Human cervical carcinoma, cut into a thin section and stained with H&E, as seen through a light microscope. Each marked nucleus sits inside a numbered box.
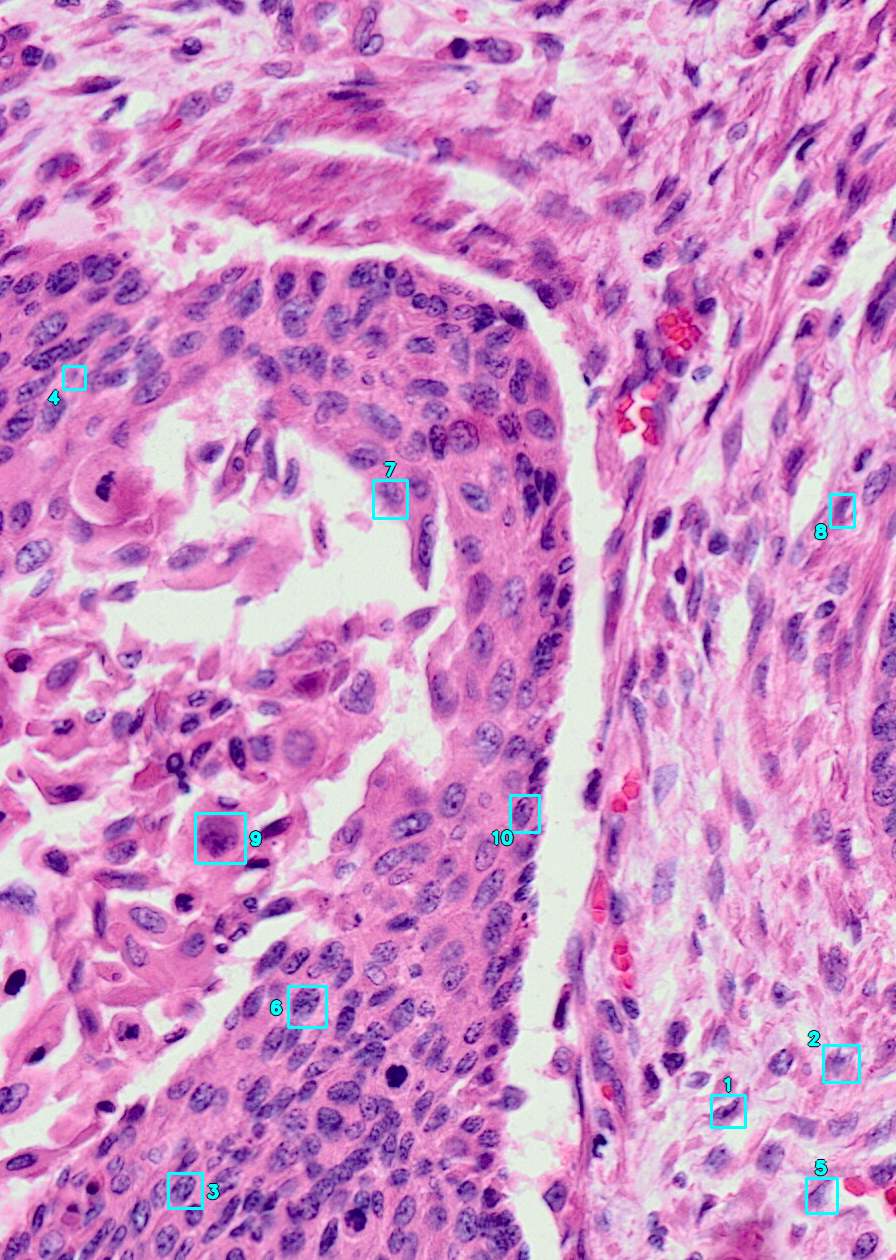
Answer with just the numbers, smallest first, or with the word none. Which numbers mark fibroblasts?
1, 2, 8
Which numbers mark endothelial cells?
5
